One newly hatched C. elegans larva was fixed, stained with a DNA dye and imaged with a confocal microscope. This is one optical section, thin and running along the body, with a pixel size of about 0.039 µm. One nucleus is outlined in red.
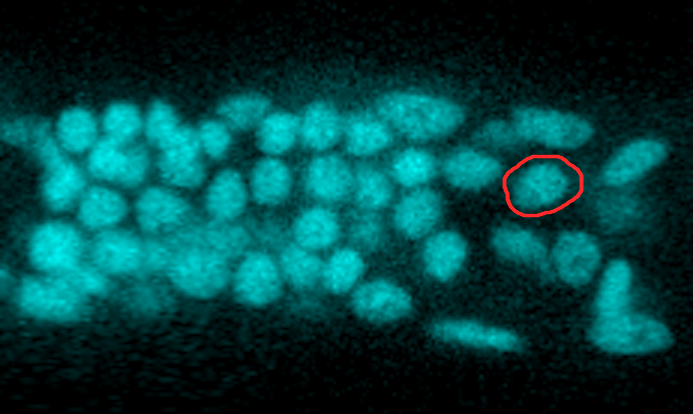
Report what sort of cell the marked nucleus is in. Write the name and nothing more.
pharyngeal muscle cell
